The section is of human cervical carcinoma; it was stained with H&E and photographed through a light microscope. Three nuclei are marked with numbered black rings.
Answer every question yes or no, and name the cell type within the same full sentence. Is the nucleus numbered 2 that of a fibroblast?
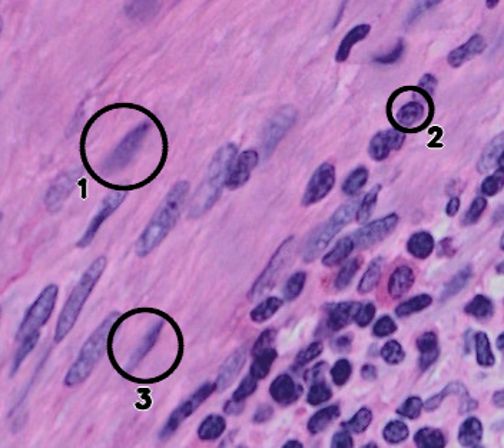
No, at number 2 sits a lymphocyte, not a fibroblast.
